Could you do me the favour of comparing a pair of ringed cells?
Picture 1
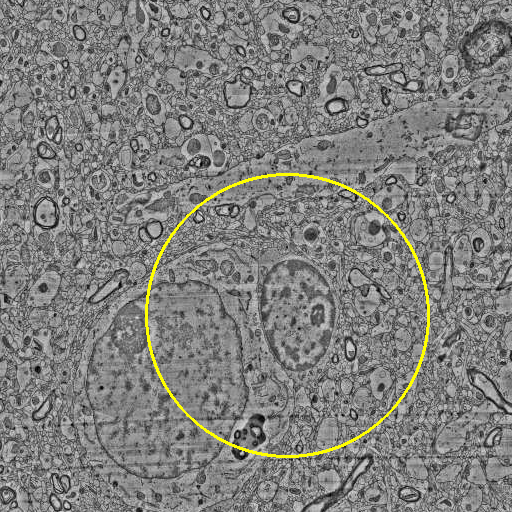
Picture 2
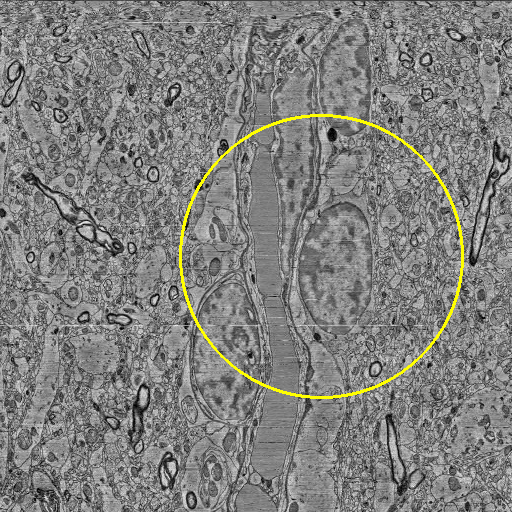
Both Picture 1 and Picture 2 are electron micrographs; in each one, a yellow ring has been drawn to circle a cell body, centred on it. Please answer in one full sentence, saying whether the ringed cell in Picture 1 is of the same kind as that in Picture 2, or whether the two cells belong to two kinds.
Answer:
The ringed cell in Picture 1 is of the same kind as that in Picture 2.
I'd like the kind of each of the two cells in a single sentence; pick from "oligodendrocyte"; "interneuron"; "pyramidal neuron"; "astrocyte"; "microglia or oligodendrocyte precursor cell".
The cell in the first picture is an oligodendrocyte, and so is the one in the second.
